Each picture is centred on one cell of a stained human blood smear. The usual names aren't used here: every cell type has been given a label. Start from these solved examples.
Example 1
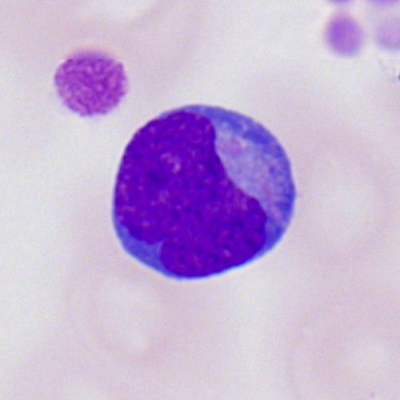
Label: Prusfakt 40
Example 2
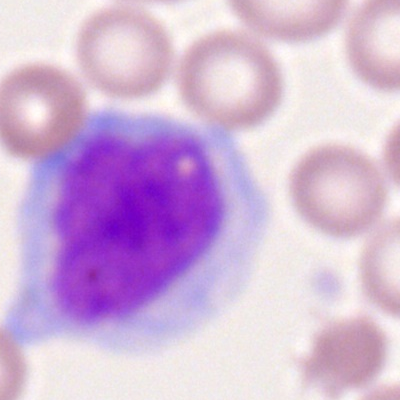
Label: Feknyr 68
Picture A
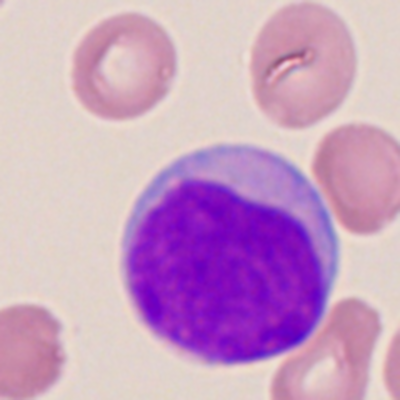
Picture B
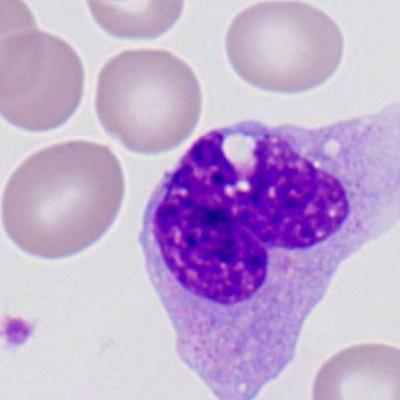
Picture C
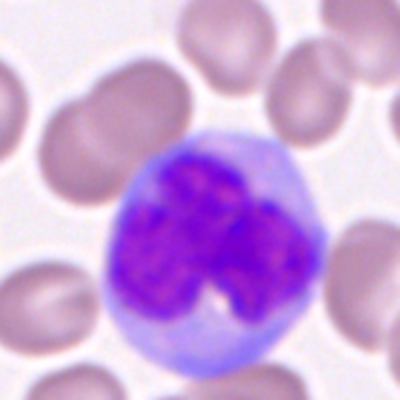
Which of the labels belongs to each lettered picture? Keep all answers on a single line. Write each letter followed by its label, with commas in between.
A Prusfakt 40, B Feknyr 68, C Feknyr 68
